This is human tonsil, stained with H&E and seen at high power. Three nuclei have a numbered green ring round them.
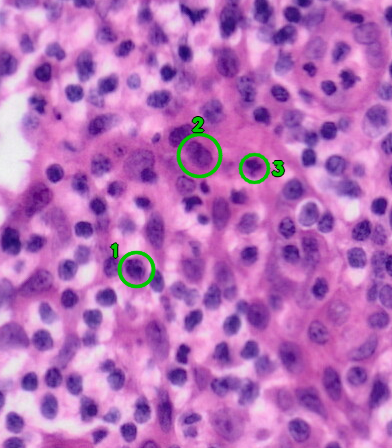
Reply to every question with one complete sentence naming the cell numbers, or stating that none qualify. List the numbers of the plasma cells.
With the exception of cell 1, no marked cell is a plasma cell.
